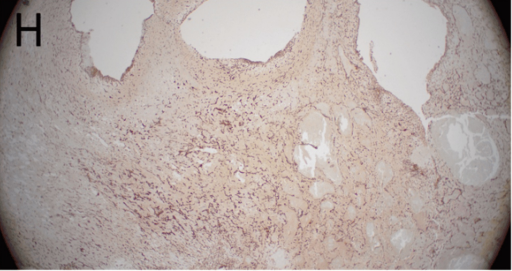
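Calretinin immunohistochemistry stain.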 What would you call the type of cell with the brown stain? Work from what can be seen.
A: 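Scattered small elongated cells are stained brown in a pale loose matrix. So: myxoma cells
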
